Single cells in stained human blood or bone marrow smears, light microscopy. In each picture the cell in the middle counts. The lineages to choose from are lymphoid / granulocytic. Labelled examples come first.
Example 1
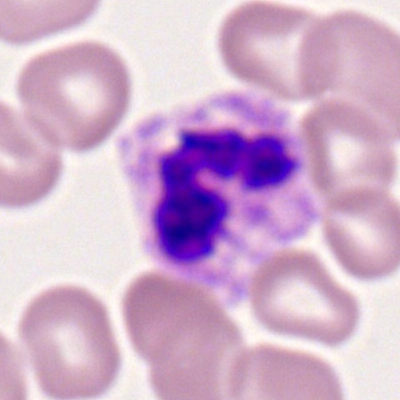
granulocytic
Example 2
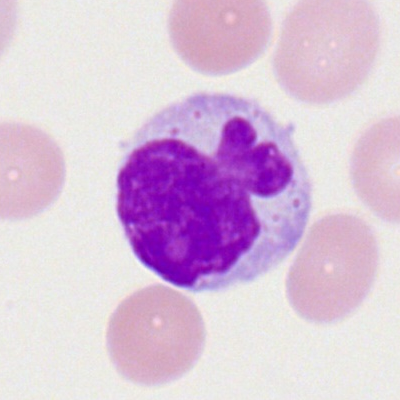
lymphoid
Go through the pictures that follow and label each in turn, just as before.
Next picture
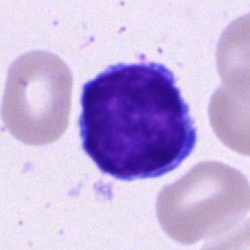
lymphoid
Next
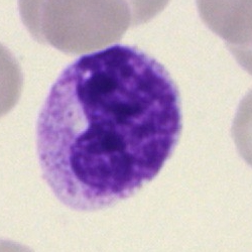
granulocytic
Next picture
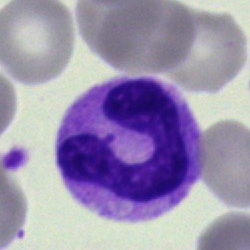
granulocytic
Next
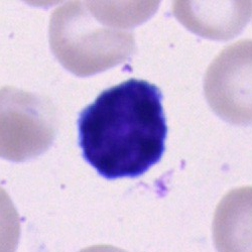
lymphoid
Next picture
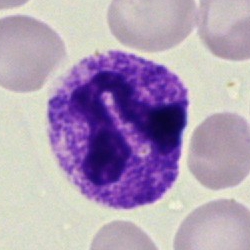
granulocytic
